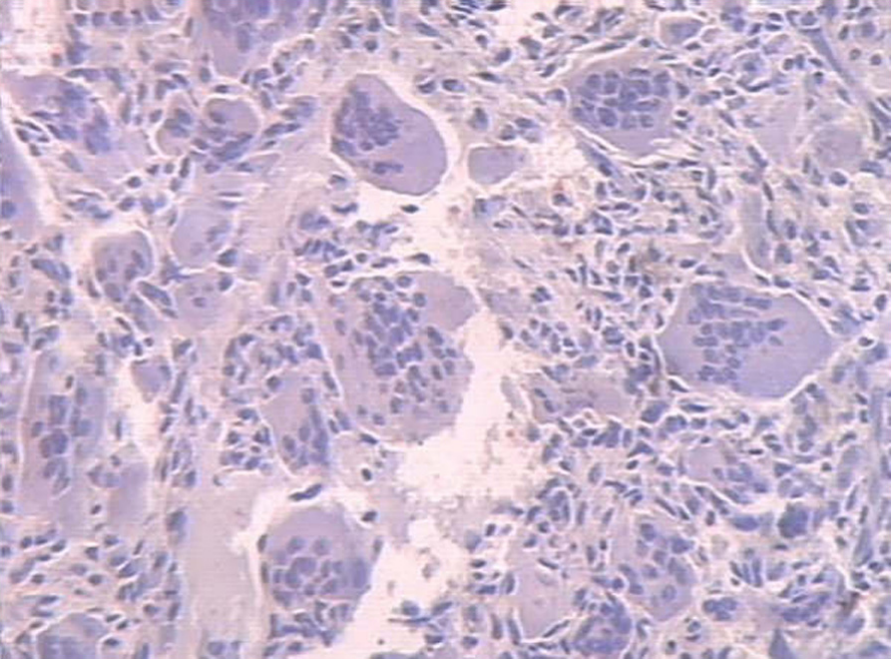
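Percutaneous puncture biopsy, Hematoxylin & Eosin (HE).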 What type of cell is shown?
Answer: osteoclast-like giant cells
